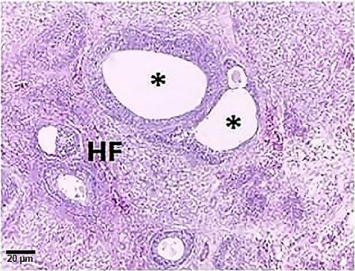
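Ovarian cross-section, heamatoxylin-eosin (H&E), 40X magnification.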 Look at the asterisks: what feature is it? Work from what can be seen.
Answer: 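Two large clear cavities marked by asterisks. No oocyte visible within them.
Hence: cystic follicles.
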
